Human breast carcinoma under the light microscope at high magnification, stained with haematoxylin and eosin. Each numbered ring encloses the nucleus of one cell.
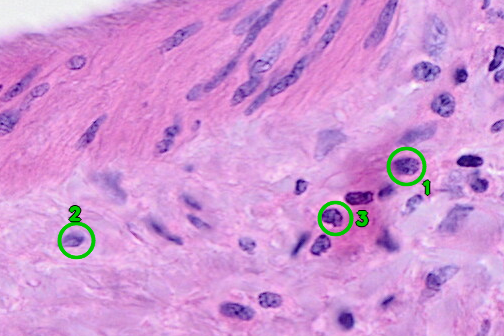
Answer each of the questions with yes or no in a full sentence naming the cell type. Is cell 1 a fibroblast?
No, number 1 is assigned to a mast cell, not to a fibroblast.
